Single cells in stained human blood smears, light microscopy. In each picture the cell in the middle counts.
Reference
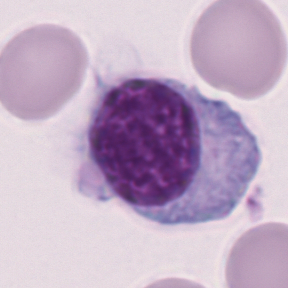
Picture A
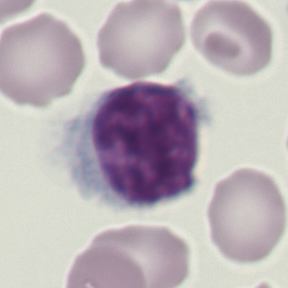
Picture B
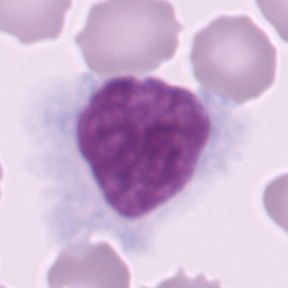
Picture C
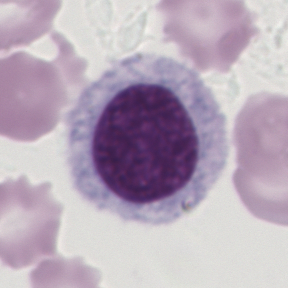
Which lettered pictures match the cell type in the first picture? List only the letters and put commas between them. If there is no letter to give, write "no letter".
no letter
